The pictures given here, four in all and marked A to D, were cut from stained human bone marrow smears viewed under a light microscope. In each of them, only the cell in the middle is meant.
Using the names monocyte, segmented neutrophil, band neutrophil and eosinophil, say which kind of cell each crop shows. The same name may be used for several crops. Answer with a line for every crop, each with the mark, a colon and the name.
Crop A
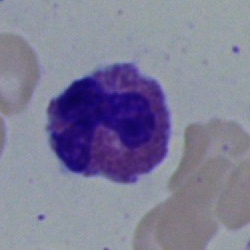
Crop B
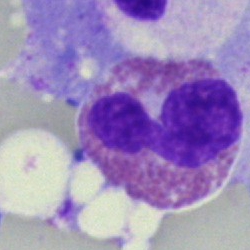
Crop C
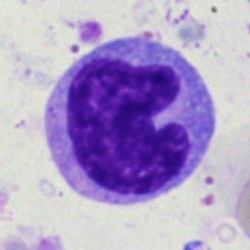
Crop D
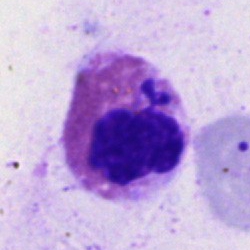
A: eosinophil
B: eosinophil
C: monocyte
D: eosinophil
